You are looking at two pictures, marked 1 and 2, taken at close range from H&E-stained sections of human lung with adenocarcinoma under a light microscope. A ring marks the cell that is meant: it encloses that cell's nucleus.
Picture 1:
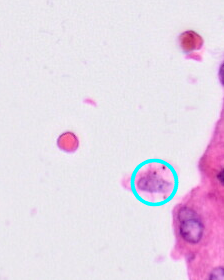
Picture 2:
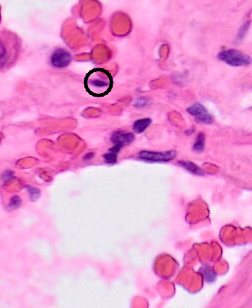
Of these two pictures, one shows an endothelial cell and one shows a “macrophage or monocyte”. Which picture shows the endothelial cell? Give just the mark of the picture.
2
